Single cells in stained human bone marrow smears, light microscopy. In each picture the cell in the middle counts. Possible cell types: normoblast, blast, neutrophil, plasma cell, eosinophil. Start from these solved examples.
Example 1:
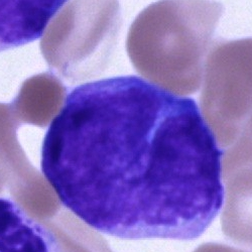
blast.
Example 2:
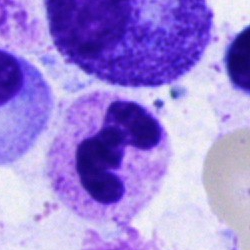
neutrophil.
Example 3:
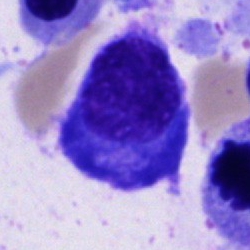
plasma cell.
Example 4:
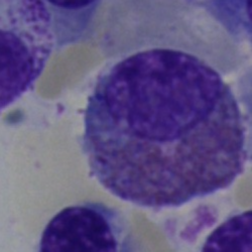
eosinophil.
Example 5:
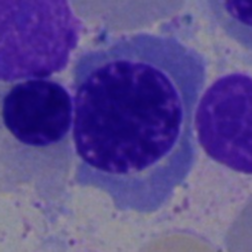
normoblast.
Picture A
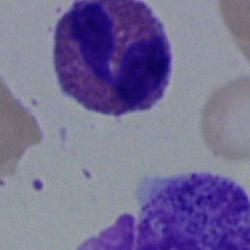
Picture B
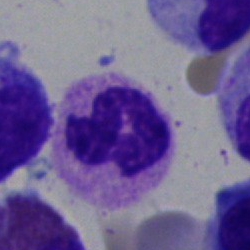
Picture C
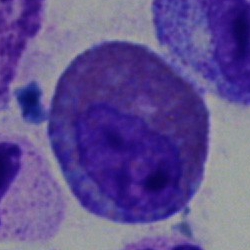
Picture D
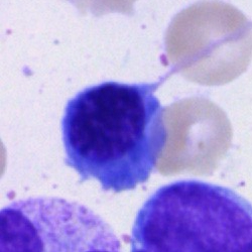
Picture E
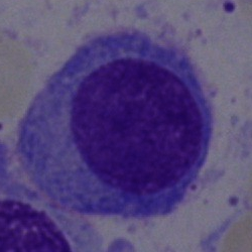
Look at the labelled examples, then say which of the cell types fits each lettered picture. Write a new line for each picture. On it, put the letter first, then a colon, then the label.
A: eosinophil.
B: neutrophil.
C: eosinophil.
D: normoblast.
E: plasma cell.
